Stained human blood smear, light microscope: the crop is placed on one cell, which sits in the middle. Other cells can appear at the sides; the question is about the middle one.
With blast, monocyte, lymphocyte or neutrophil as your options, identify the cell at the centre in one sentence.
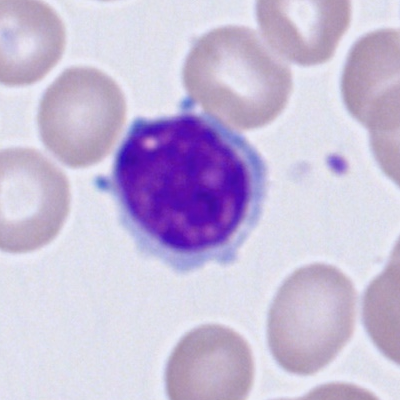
What sits at the centre of this crop is a lymphocyte.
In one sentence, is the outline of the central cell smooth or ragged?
An irregular outline, ragged or marked by projections, surrounds this cell.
